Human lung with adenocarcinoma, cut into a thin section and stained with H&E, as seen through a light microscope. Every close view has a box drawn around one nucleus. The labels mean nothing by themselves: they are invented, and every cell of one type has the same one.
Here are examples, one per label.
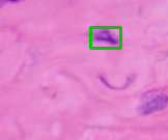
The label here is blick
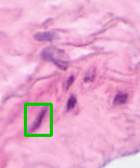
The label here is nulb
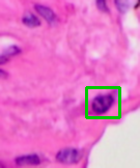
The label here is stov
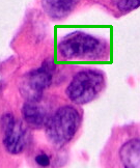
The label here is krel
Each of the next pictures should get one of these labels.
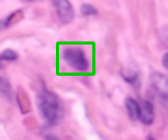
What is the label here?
stov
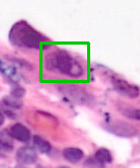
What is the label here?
krel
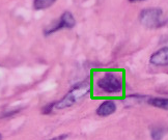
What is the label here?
stov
